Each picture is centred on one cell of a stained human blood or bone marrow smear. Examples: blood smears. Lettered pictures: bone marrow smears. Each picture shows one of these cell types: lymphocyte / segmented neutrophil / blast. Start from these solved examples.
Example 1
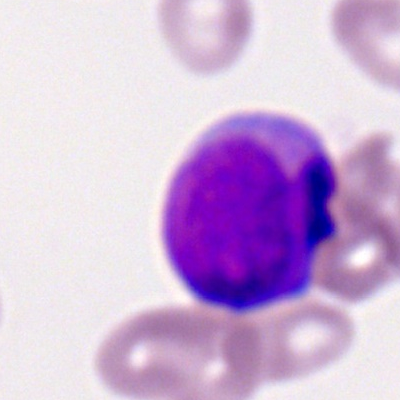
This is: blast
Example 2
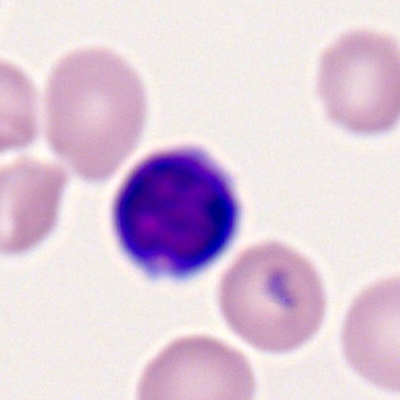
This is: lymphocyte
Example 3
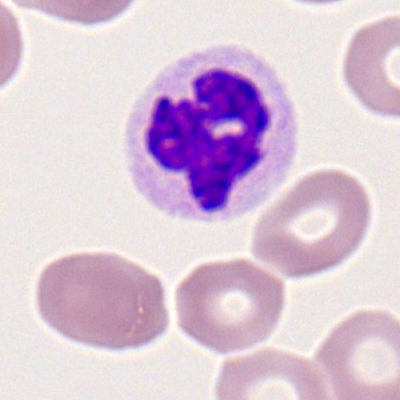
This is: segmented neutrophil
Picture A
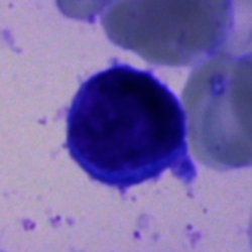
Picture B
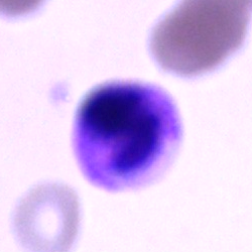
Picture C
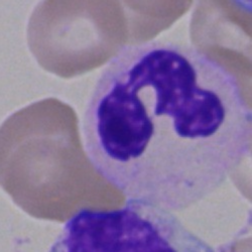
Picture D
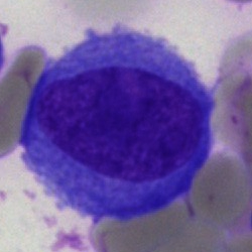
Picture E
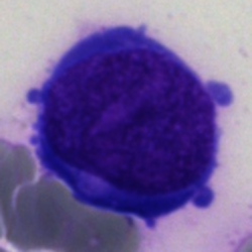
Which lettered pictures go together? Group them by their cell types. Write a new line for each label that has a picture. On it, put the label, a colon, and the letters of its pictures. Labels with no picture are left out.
lymphocyte: A
segmented neutrophil: B, C
blast: D, E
